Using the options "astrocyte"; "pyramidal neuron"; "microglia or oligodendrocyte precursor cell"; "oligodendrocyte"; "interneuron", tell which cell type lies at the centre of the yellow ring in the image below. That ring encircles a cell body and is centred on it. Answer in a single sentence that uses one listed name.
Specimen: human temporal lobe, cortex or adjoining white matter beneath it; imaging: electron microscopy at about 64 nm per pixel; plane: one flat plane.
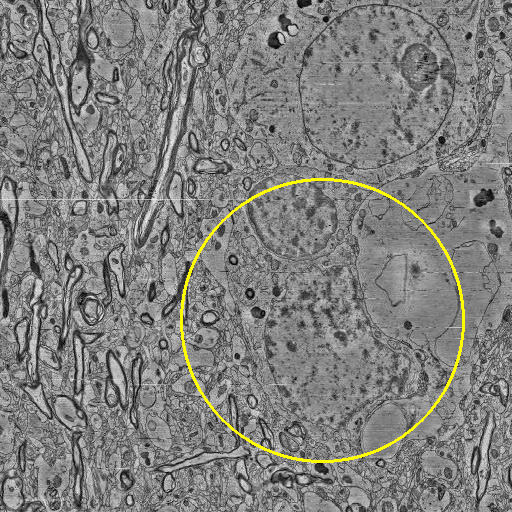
At the centre of the yellow ring lies the body of an interneuron.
